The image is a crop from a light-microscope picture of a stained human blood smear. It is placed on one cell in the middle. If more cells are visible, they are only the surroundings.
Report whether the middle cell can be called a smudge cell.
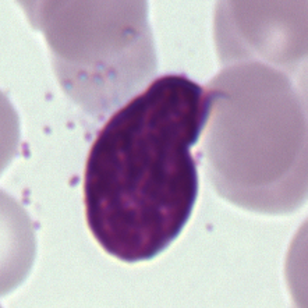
yes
